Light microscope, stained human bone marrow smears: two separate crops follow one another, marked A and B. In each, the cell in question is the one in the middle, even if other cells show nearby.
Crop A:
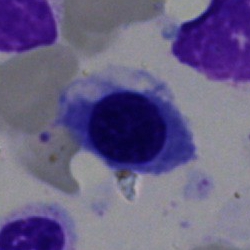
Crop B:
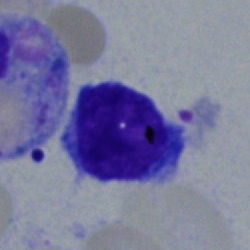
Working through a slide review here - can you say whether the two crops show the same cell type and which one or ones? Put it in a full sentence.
No, crop A captures an erythroblast; meanwhile crop B captures a lymphocyte.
